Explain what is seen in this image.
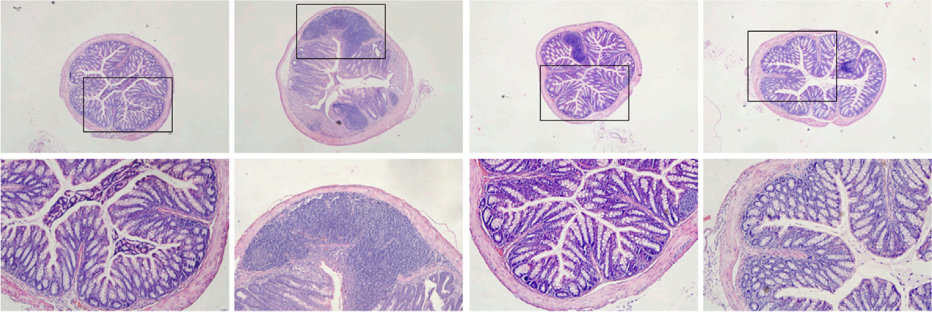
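A row of round cross-sections of colon in pink and purple, each with enlarged views beneath. The pink outer layer is a thin muscular wall; inside it the purple mucosa is thrown into branching folds that converge on a narrow central lumen, packed with straight tubular glands standing side by side. In most sections the glands are regular and orderly. In one section a large part of the mucosa has lost its glands and is replaced by a dense, solid sheet of small dark purple nuclei, the picture of heavy inflammatory cell infiltration with destruction of the crypt architecture.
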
